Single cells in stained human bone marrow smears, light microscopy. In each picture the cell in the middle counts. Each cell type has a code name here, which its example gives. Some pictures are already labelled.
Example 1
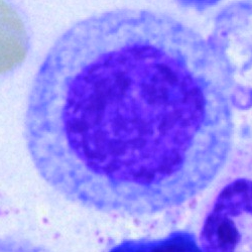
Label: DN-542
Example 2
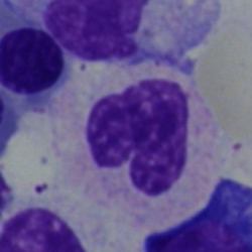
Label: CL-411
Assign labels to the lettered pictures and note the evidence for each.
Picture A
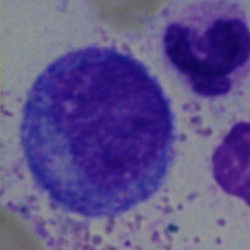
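DN-542. Evidence: The chromatin looks finely granular rather than clumped.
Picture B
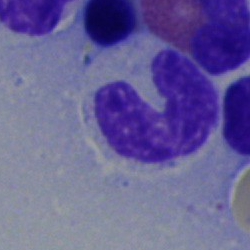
CL-411. Evidence: The nucleus is horseshoe-shaped, with a deep notch entering from the top.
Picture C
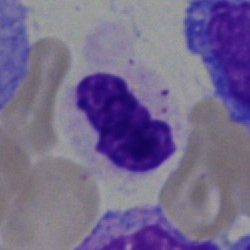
CL-411. Evidence: The chromatin is dense and dark purple, with coarse clumping.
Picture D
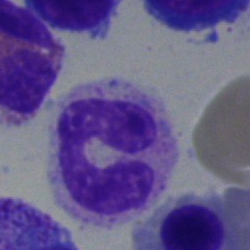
CL-411. Evidence: The chromatin is dark purple and coarsely clumped.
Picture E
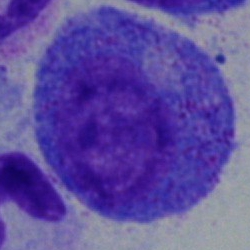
DN-542. Evidence: The chromatin looks finely granular rather than coarsely clumped.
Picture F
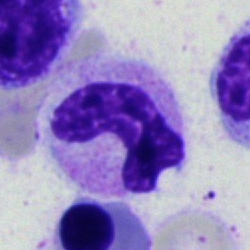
CL-411. Evidence: The chromatin is dark purple and coarsely clumped.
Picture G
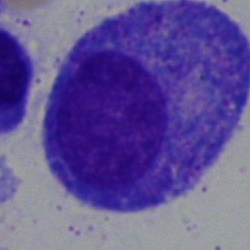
DN-542. Evidence: The chromatin is finely textured rather than coarsely clumped.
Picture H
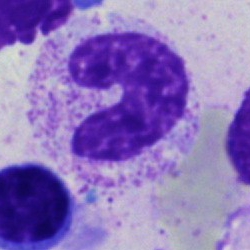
CL-411. Evidence: The nucleus is bent into a C shape, with a deep notch opening toward the left.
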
